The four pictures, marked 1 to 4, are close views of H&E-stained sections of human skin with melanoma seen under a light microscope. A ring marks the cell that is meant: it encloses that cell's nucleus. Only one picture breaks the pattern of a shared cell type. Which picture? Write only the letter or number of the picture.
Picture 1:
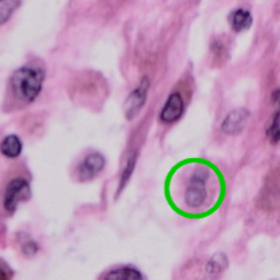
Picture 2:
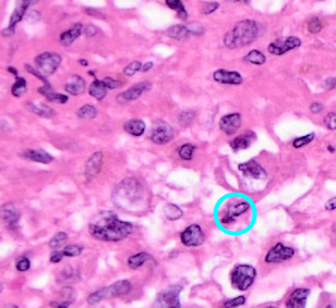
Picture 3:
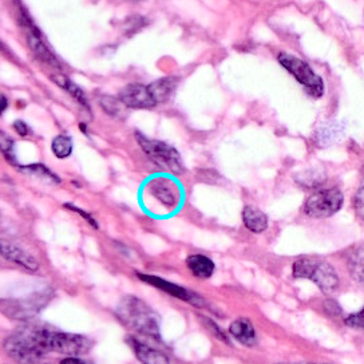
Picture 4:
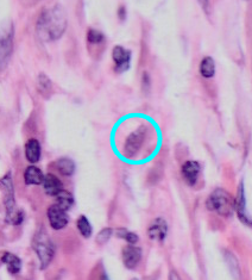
3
